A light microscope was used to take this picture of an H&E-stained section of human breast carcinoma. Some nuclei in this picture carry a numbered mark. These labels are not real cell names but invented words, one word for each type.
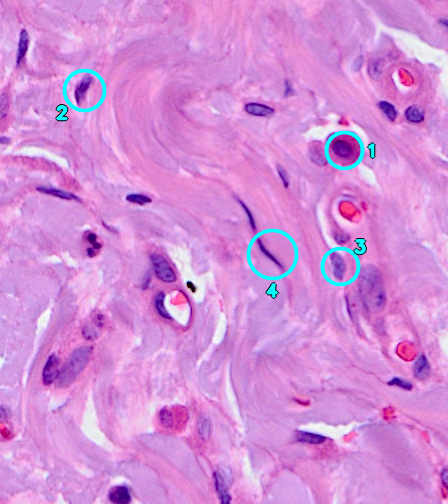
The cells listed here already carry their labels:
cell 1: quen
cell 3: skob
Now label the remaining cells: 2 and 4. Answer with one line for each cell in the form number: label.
2: skob
4: skob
